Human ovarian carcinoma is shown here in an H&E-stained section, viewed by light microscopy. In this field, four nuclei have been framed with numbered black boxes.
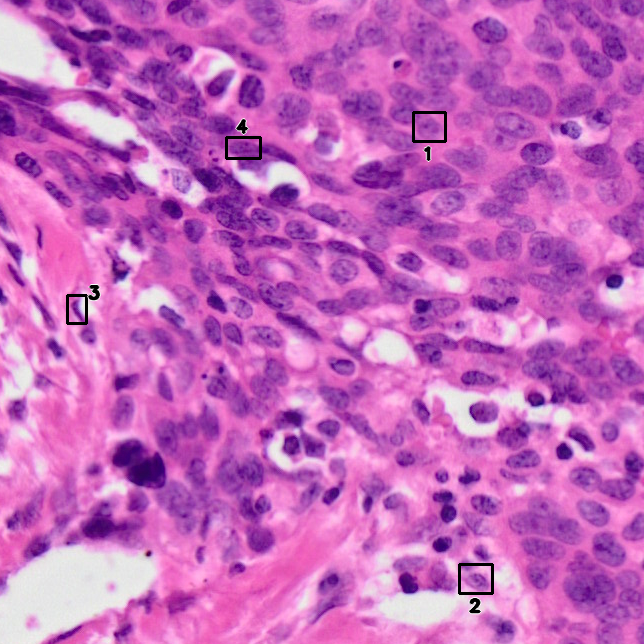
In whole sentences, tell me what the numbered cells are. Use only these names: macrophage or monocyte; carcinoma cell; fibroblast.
Cell 1 is a carcinoma cell, cell 2 is a macrophage or monocyte, cell 3 is a fibroblast and cell 4 is a carcinoma cell.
